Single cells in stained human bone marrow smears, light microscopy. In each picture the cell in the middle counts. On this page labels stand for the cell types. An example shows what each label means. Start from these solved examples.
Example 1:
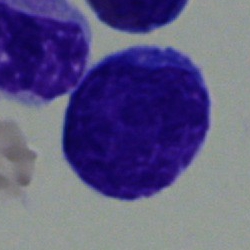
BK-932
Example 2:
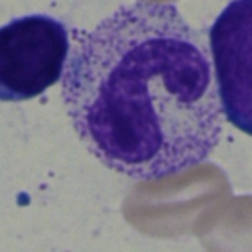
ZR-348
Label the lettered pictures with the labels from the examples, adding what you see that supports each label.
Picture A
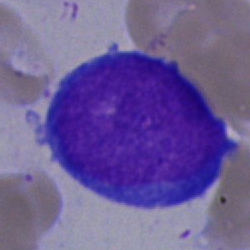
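Answer: BK-932. The nucleus fills almost the whole cell.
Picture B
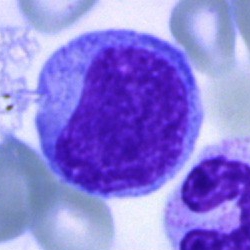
Answer: BK-932. The nucleus fills most of the cell and sits toward the right.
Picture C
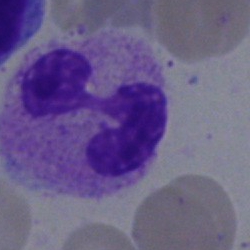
Answer: ZR-348. The cytoplasm is abundant and pale pinkish-lilac.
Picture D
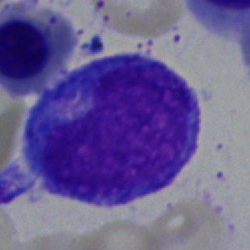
Answer: BK-932. The chromatin is finely stippled rather than gathered into coarse dark clumps.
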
